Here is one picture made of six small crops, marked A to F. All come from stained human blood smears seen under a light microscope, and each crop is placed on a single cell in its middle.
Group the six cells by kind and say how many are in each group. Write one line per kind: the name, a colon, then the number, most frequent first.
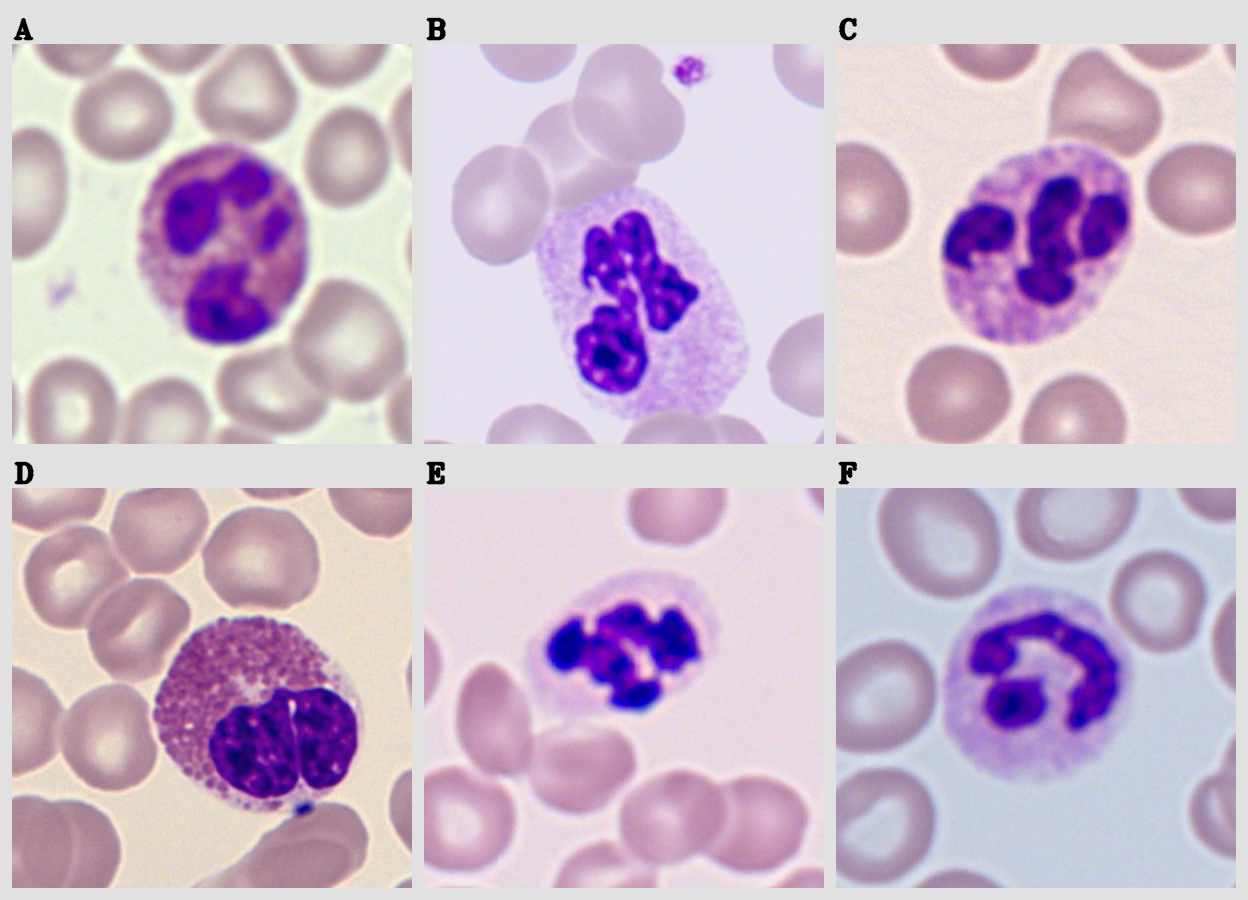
segmented neutrophil: 4
eosinophil: 2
